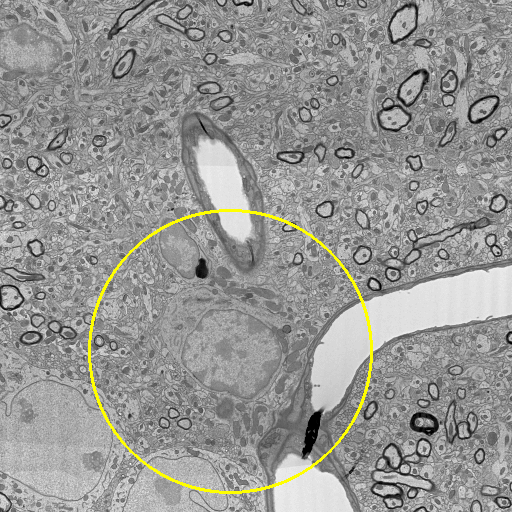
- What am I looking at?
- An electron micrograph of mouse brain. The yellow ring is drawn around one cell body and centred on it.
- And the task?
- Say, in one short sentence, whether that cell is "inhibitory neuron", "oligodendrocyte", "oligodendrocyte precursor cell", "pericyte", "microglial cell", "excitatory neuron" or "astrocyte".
The cell in the middle of the ring is an oligodendrocyte.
